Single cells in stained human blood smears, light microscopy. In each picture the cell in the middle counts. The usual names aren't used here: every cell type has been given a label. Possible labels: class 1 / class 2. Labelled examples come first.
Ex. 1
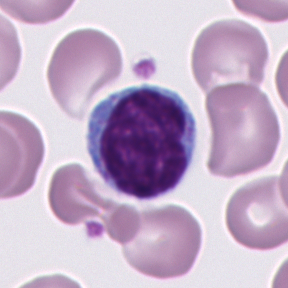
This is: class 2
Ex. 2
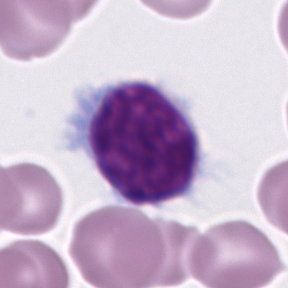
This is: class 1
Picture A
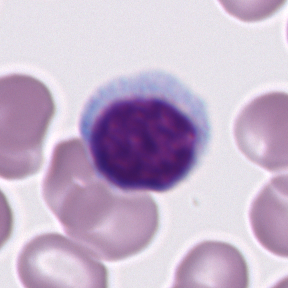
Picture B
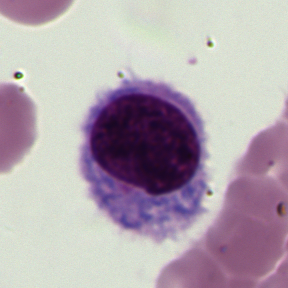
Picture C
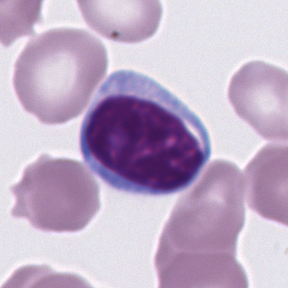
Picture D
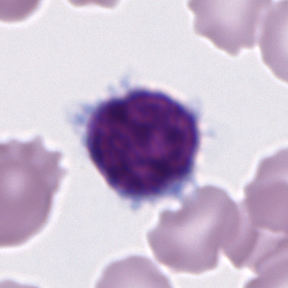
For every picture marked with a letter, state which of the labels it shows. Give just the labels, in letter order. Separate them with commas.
class 2, class 1, class 2, class 1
